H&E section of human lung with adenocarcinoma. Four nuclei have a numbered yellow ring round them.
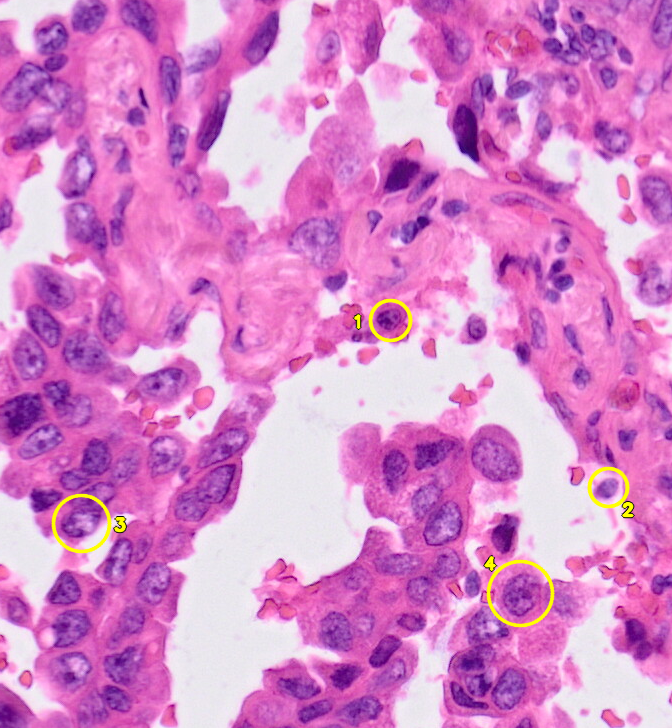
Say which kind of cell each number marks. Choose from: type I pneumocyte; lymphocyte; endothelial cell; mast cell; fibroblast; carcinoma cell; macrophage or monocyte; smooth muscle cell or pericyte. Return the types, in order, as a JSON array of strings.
["macrophage or monocyte", "lymphocyte", "carcinoma cell", "carcinoma cell"]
